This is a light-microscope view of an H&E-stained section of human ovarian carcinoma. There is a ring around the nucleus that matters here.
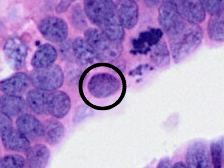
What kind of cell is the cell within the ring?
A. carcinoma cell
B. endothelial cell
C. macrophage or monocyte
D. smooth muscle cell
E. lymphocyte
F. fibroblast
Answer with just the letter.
A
